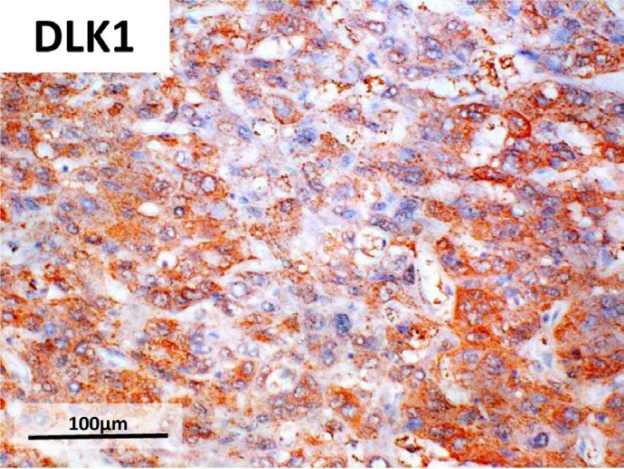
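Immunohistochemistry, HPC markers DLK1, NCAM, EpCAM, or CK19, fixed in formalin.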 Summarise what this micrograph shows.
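Tumour cells of a liver carcinoma are arranged in broad trabeculae and sheets with intervening slit-like vascular spaces. Most of the polygonal cells show diffuse, granular brown staining of the cytoplasm, with blue round nuclei; staining intensity varies from area to area.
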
